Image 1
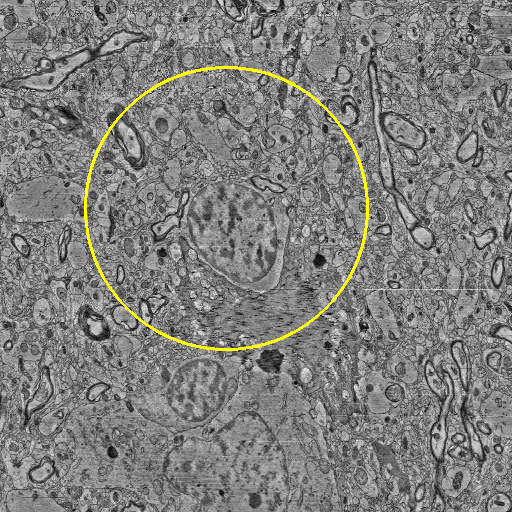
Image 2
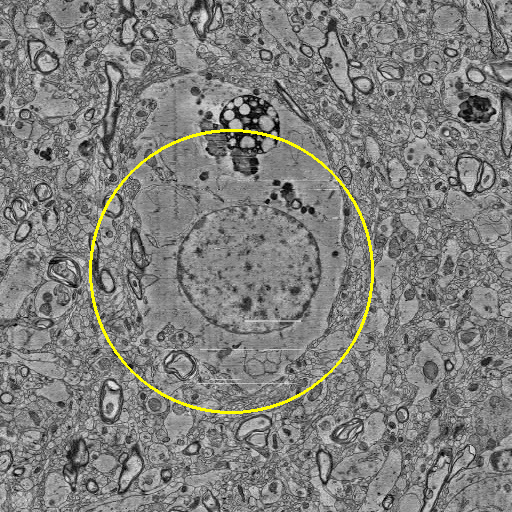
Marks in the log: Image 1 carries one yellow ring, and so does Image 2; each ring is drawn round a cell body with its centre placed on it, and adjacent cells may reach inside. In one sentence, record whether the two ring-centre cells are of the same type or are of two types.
The two cells at the ring centres, one in each image, are of two types.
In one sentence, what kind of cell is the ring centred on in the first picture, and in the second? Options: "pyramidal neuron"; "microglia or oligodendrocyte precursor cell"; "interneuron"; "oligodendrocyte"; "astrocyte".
The cell at the centre of the second ring is an astrocyte; the first ring's cell is an oligodendrocyte.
